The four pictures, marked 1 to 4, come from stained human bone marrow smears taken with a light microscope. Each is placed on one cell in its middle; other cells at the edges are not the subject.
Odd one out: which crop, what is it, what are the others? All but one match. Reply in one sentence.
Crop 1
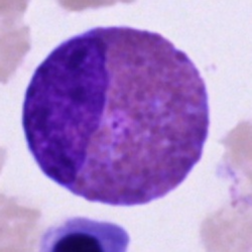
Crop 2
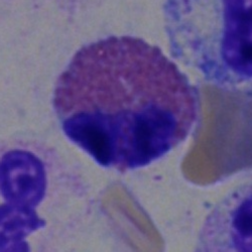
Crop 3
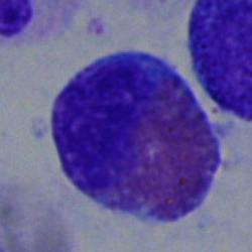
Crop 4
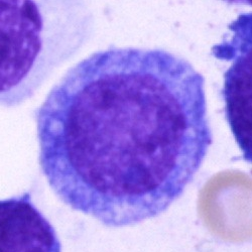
Crop 4 is a promyelocyte, unlike the other crops, which all show eosinophils.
